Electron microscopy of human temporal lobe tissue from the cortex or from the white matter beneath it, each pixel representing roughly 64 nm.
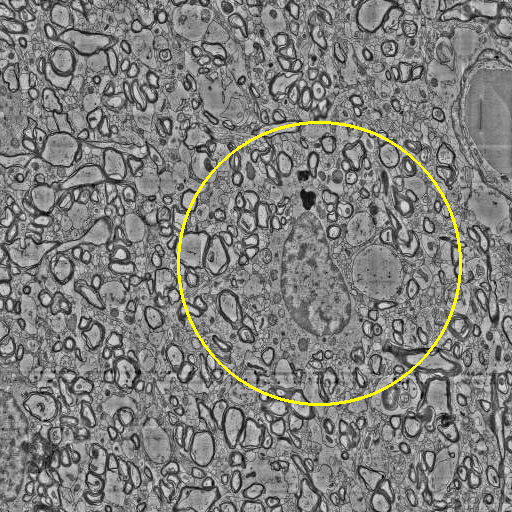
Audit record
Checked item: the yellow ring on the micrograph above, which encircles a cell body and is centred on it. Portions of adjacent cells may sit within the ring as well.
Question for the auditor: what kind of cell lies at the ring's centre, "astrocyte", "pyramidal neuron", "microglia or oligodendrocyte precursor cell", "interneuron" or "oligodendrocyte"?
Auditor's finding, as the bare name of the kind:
oligodendrocyte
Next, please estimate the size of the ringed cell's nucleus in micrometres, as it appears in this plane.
The nucleus measures about 7 by 4 micrometres, so it is clearly longer than it is wide in this plane.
